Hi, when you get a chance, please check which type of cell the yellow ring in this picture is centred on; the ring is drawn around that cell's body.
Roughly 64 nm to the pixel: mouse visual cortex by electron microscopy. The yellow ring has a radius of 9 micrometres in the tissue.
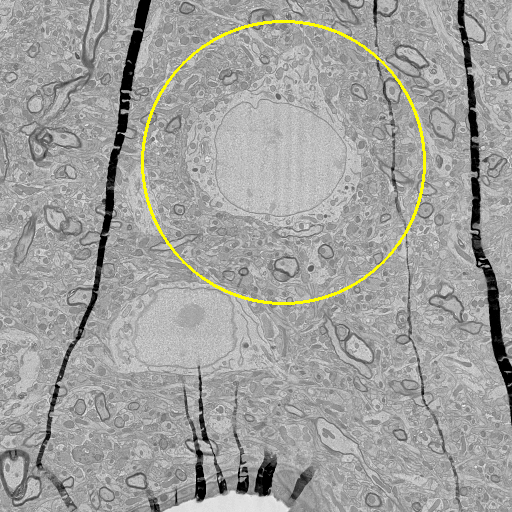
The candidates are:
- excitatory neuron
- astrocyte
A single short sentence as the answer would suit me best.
The ring is drawn around the body of an excitatory neuron.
